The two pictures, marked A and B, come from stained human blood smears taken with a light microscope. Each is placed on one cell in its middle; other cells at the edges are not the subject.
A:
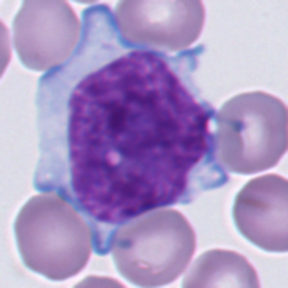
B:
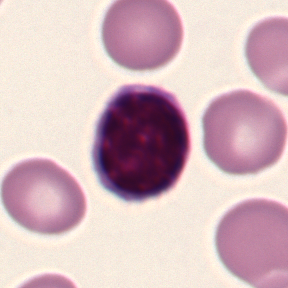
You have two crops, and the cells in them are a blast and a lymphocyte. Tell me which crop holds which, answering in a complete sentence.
The one in crop A is a blast, and the one in crop B is a lymphocyte.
